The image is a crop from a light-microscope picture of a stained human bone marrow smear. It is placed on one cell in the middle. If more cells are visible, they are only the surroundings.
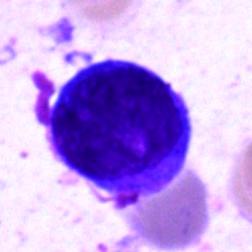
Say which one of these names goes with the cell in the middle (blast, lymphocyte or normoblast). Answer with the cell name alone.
blast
